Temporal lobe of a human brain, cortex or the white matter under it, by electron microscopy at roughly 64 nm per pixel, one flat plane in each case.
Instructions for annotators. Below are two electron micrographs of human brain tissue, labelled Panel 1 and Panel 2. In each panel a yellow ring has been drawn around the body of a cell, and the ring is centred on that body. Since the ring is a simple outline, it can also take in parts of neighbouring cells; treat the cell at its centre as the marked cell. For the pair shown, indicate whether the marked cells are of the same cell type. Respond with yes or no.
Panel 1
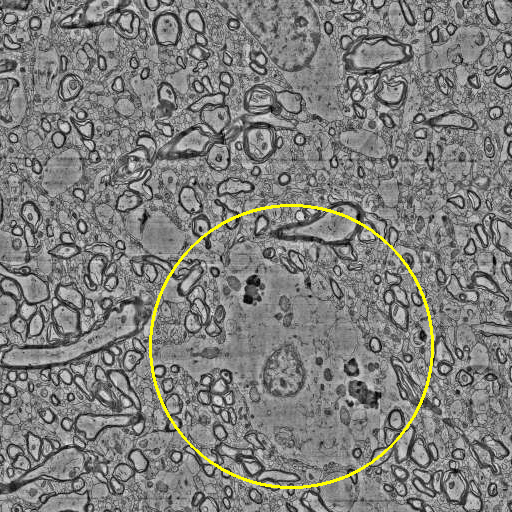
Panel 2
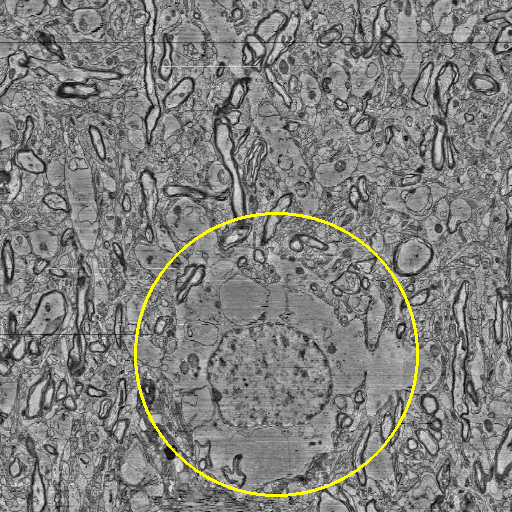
yes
